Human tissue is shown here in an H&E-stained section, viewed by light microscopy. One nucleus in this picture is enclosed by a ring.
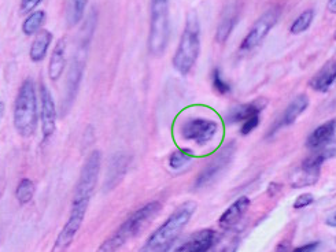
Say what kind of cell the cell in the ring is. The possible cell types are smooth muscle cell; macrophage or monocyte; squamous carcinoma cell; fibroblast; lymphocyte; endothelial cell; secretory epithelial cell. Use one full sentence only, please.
It is as a lymphocyte that the cell in the ring is recorded.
